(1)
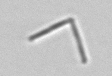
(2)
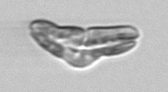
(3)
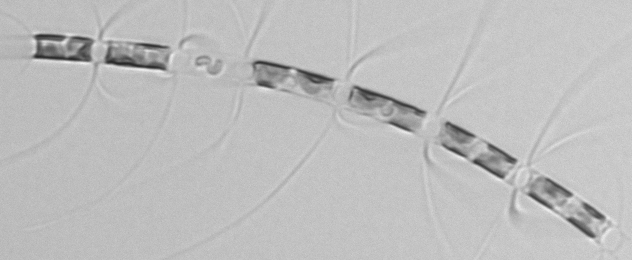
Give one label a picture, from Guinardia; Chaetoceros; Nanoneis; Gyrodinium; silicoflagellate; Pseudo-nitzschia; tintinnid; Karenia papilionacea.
Picture 1: Nanoneis
Picture 2: Karenia papilionacea
Picture 3: Chaetoceros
